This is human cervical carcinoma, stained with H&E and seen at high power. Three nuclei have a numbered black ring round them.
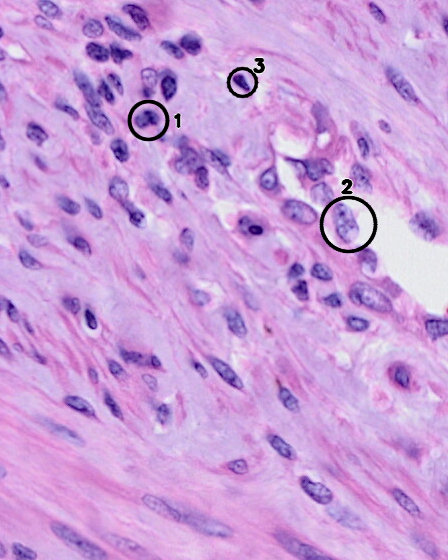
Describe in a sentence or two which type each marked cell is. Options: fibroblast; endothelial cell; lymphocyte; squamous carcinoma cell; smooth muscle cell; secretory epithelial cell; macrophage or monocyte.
Cell 1 is a lymphocyte, cell 2 is an endothelial cell and cell 3 is a lymphocyte.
